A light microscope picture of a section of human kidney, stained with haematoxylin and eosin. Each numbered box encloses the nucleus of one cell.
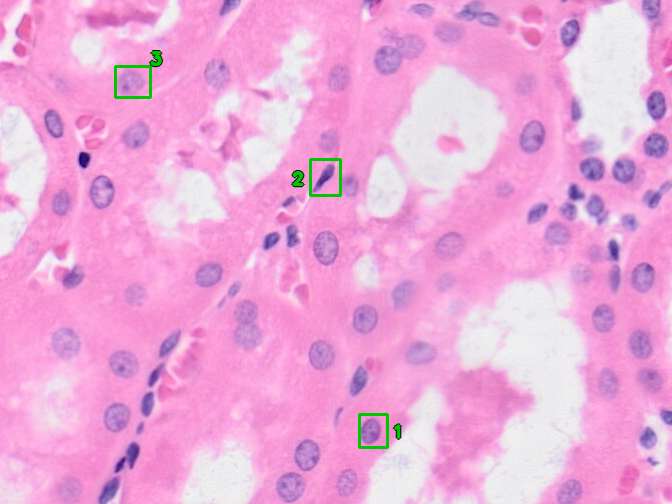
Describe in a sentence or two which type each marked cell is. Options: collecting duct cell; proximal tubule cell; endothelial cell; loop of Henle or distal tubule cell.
Cells 1 and 3 are proximal tubule cells. Cell 2 is an endothelial cell.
